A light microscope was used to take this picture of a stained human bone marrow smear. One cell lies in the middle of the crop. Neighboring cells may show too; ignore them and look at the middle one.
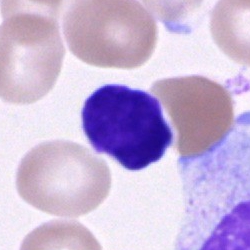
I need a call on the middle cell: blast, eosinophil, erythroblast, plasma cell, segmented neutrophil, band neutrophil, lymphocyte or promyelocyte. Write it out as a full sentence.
By classification, the middle cell of this crop is a lymphocyte.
